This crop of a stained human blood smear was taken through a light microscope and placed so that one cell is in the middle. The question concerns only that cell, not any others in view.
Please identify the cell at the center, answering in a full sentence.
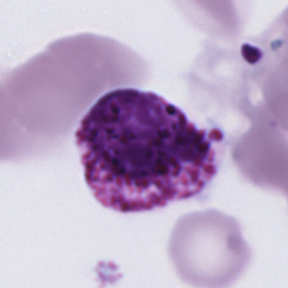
The middle of this crop holds a basophil.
